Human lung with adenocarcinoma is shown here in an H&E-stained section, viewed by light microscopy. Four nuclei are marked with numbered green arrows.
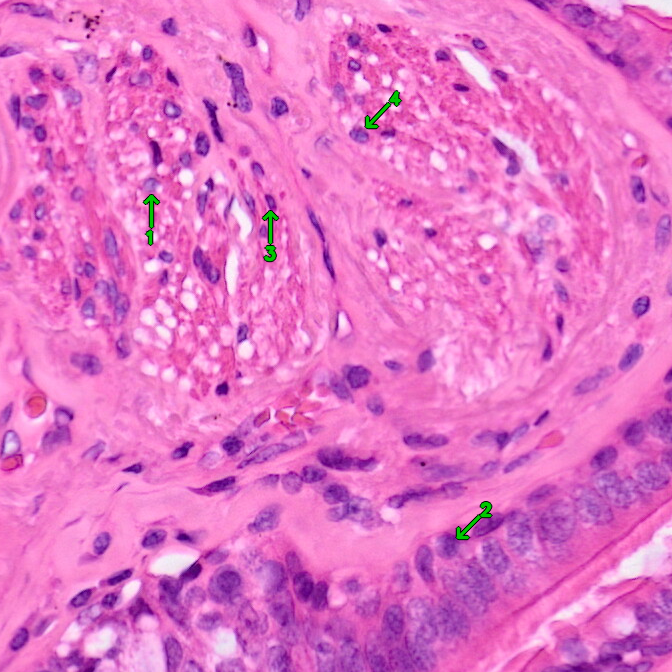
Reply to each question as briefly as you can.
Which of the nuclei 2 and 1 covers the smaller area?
1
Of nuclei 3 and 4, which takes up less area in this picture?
3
